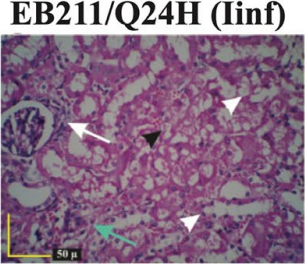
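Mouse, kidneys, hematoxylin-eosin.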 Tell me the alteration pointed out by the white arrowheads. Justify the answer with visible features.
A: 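Tubule cells at the arrowheads have pale, clear, bubbly cytoplasm. The pink cytoplasm is broken up rather than evenly stained. The answer: cytoplasmic vacuolation and pale-staining plus fragmented cytoplasm.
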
